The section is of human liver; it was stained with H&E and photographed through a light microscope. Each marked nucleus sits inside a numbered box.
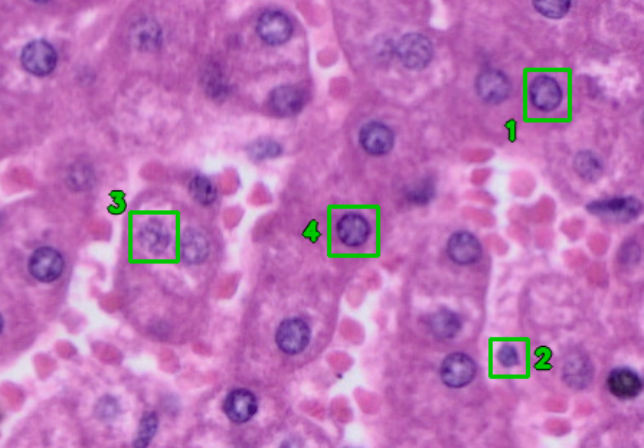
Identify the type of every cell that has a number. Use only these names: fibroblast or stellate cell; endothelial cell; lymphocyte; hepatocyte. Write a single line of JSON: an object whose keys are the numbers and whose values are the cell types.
{"1": "hepatocyte", "2": "lymphocyte", "3": "hepatocyte", "4": "hepatocyte"}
